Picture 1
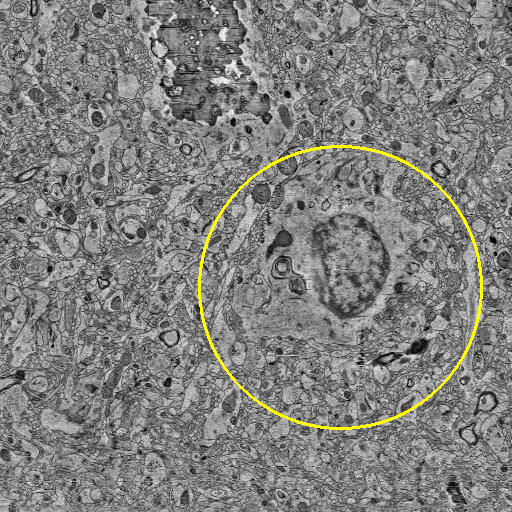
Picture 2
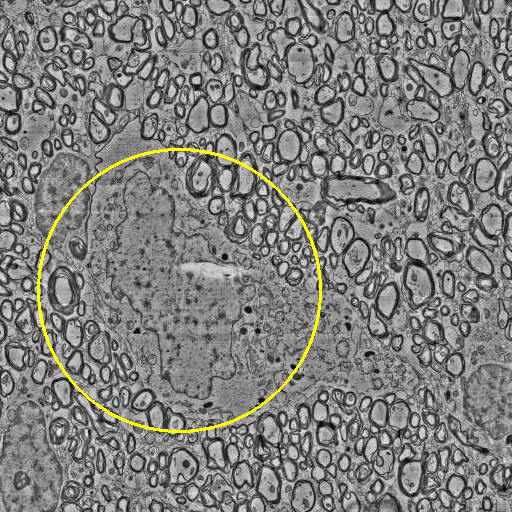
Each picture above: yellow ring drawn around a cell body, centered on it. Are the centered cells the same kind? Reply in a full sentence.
No, the two cells are two kinds of cell.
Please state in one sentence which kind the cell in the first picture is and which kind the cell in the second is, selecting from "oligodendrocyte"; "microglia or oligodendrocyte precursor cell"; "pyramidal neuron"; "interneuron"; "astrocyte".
The first ringed cell is an astrocyte, the second ringed cell a pyramidal neuron.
